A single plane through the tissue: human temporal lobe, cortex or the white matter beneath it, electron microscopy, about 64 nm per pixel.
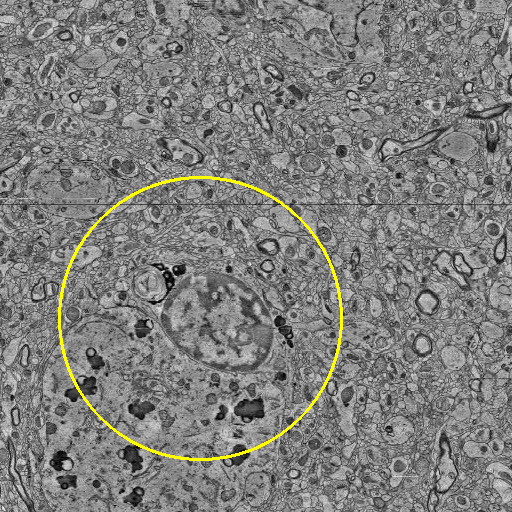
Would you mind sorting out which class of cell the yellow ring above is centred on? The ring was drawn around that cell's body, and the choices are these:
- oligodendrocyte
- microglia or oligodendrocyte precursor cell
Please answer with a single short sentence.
This is the cell body of a microglial cell or oligodendrocyte precursor cell.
